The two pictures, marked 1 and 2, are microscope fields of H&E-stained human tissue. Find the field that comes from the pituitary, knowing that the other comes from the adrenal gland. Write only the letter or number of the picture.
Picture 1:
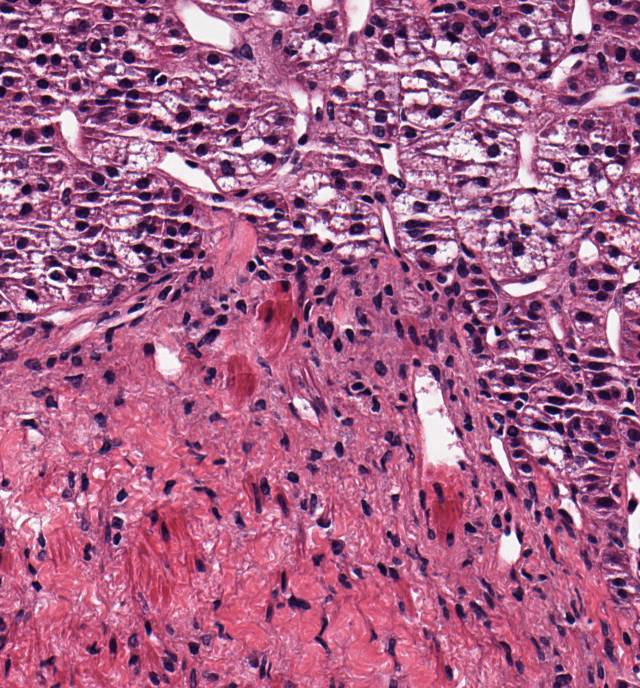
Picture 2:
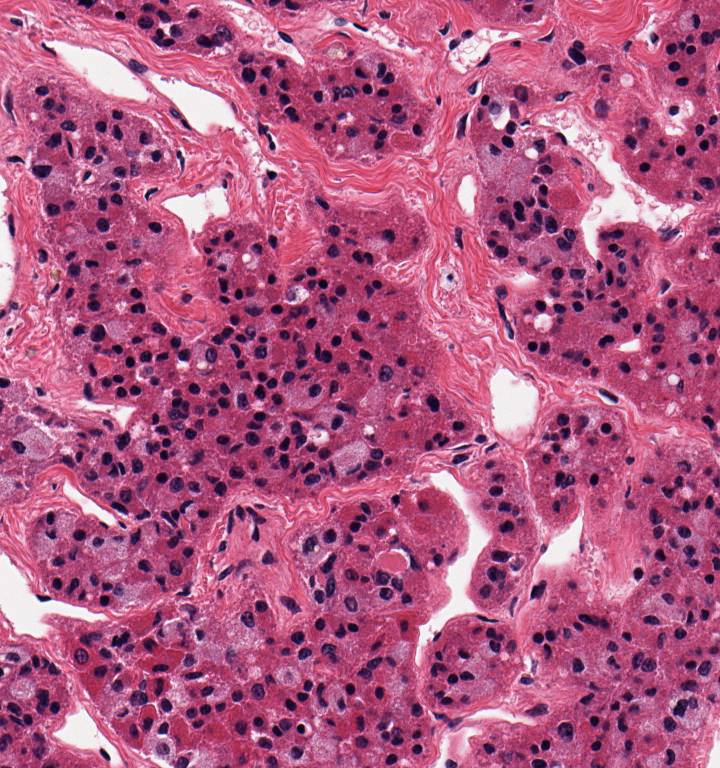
2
